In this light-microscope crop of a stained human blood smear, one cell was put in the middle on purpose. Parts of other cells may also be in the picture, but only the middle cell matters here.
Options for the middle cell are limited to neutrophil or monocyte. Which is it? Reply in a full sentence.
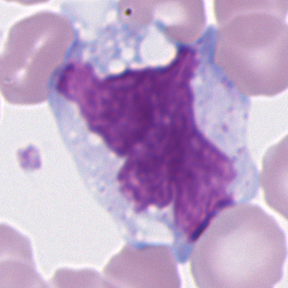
The middle of this crop is occupied by a monocyte.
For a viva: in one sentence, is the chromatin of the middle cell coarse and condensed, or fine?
The key point is fine chromatin with no coarse clumps.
